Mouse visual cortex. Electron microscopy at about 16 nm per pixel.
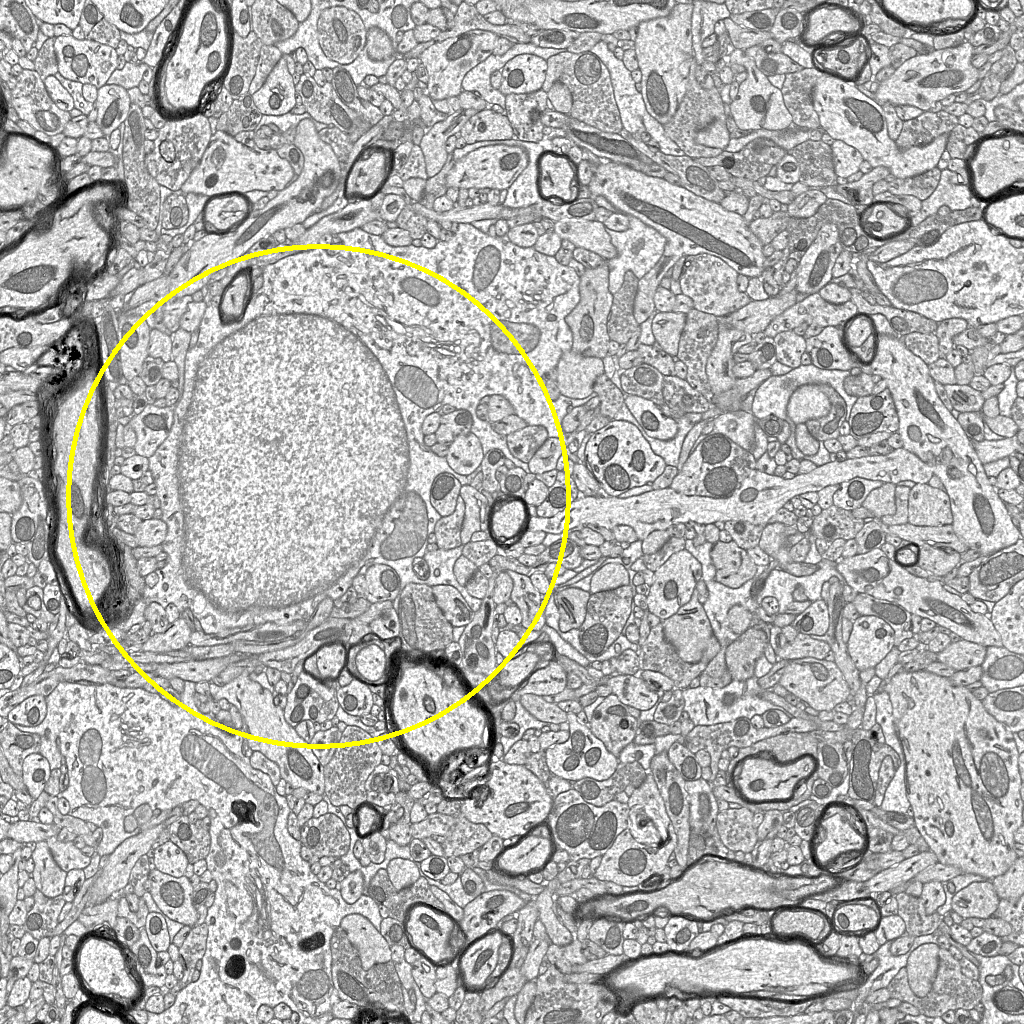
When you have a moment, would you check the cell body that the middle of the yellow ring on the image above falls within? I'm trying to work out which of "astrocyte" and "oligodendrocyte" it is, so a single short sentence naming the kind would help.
This cell body belongs to an astrocyte.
